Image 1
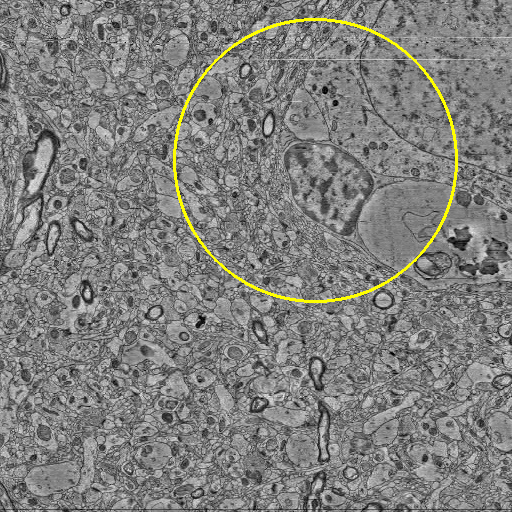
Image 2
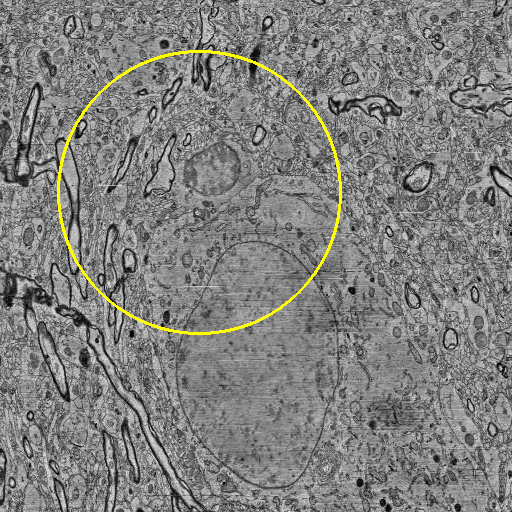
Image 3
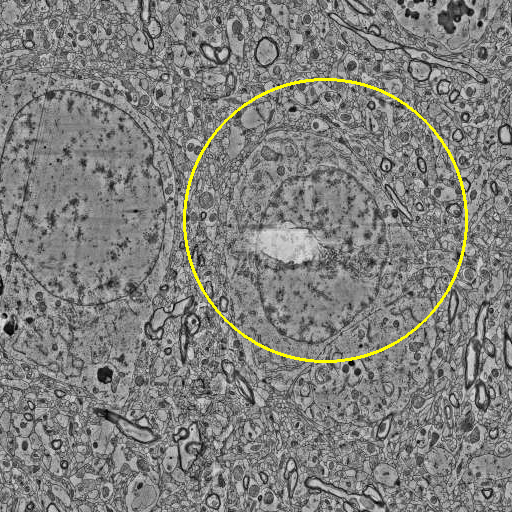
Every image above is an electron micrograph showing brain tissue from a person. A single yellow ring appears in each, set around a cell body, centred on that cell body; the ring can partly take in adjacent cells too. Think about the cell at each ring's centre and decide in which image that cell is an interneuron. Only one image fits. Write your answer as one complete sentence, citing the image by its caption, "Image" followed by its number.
Image 3 is the one whose ringed central cell fits the description.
